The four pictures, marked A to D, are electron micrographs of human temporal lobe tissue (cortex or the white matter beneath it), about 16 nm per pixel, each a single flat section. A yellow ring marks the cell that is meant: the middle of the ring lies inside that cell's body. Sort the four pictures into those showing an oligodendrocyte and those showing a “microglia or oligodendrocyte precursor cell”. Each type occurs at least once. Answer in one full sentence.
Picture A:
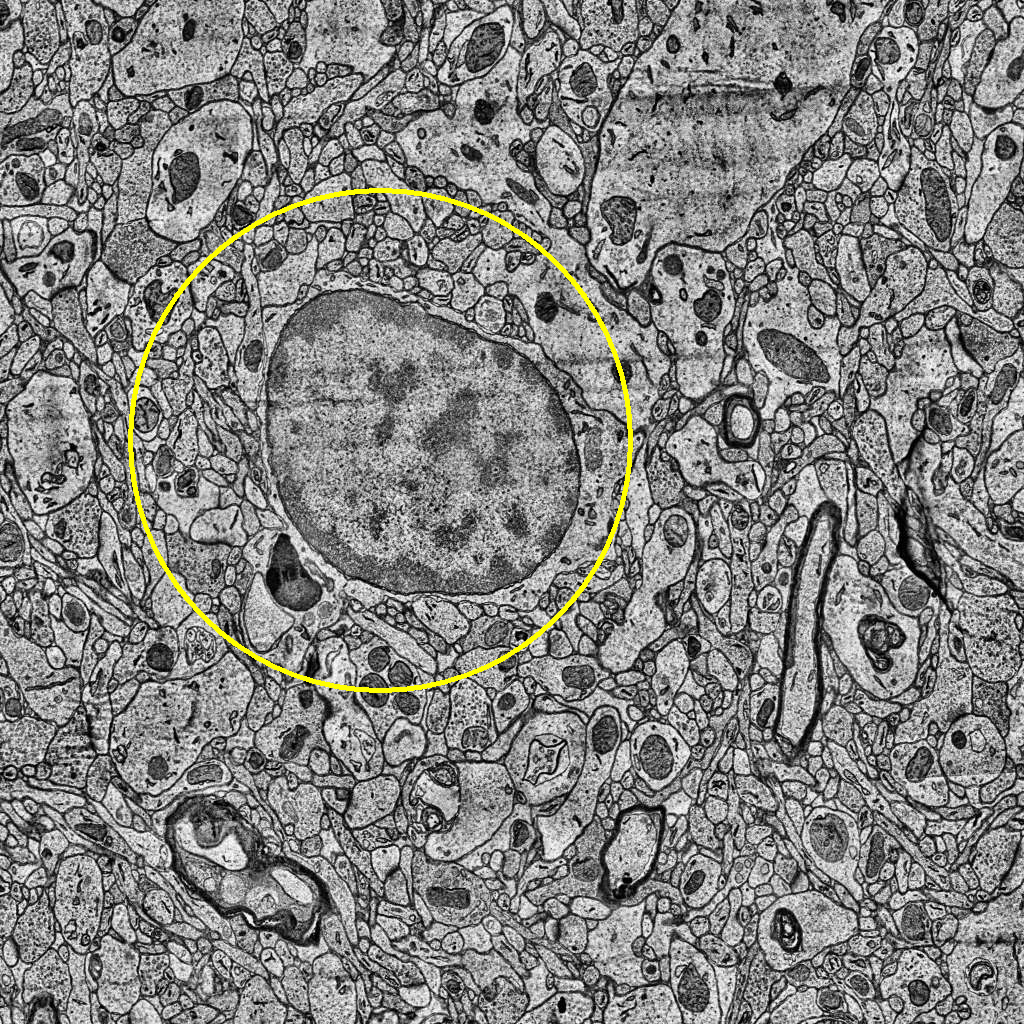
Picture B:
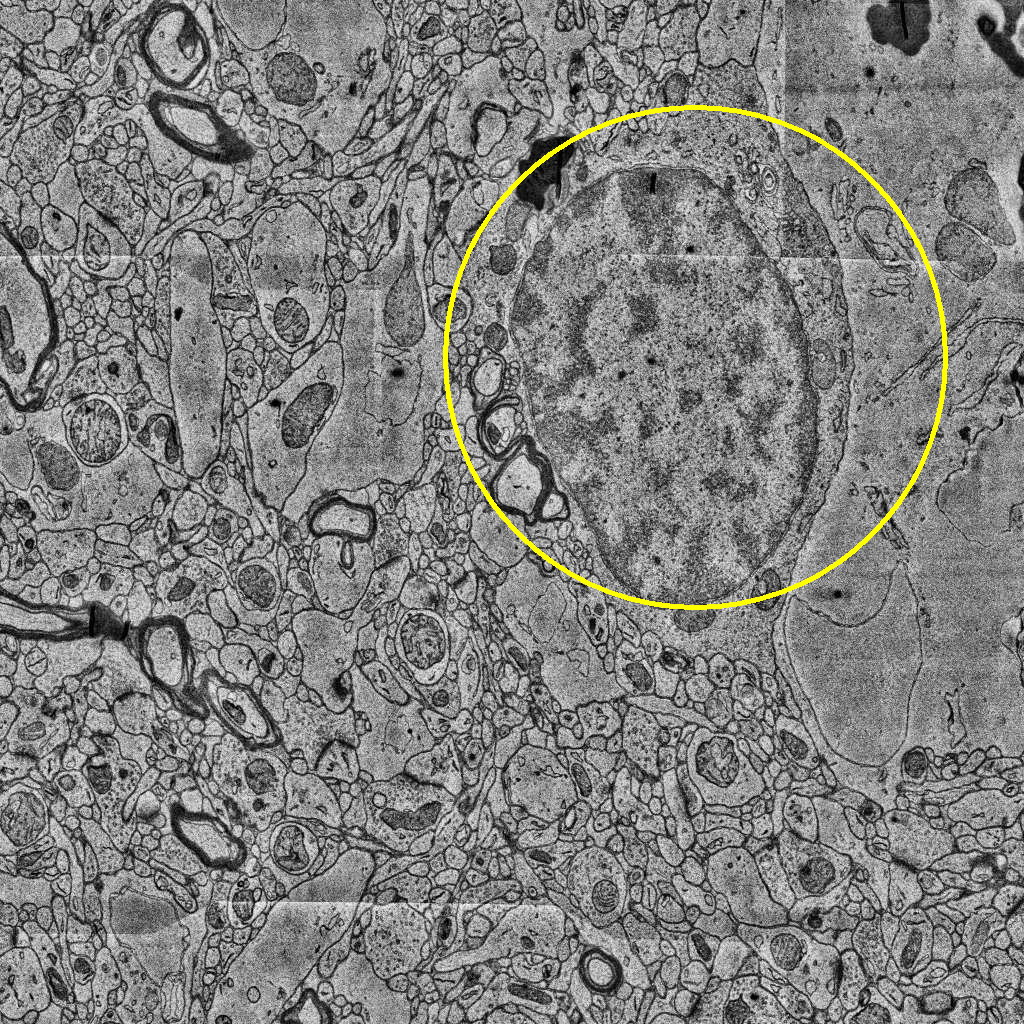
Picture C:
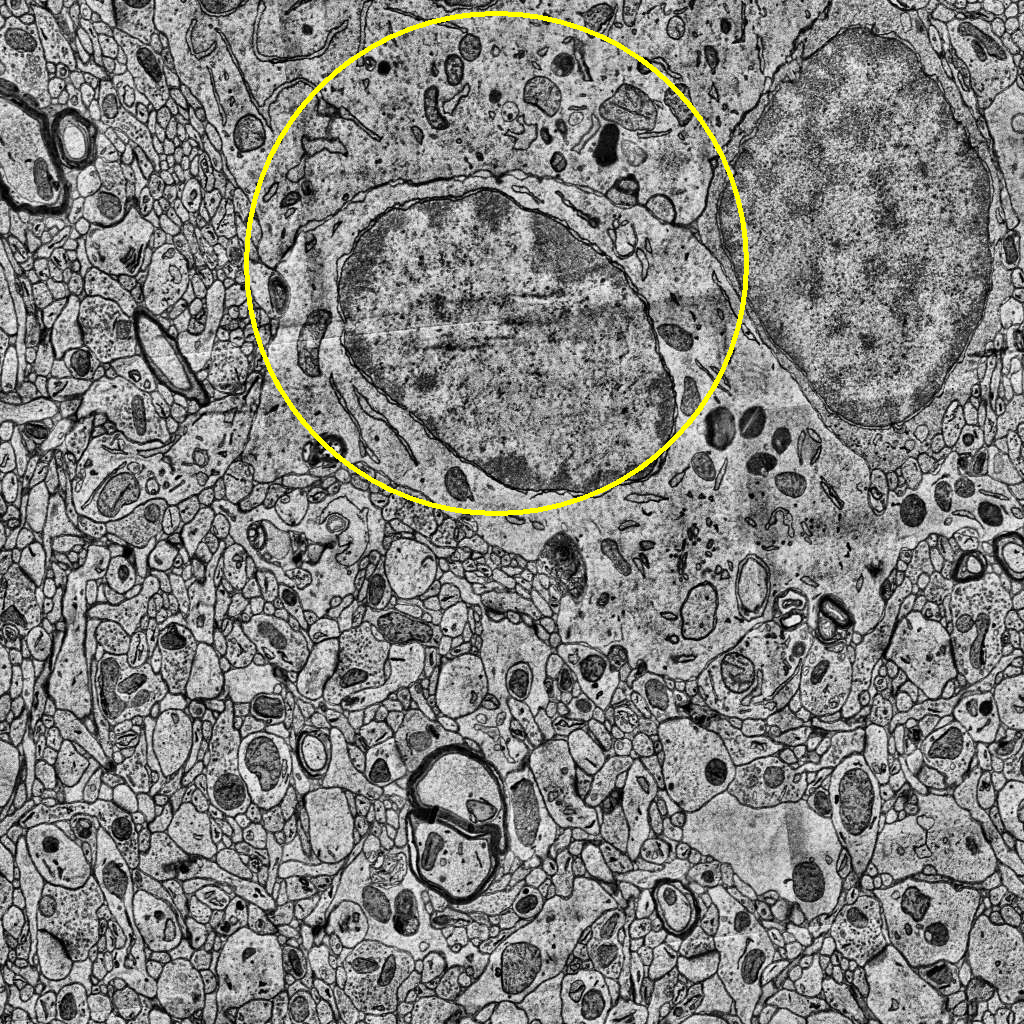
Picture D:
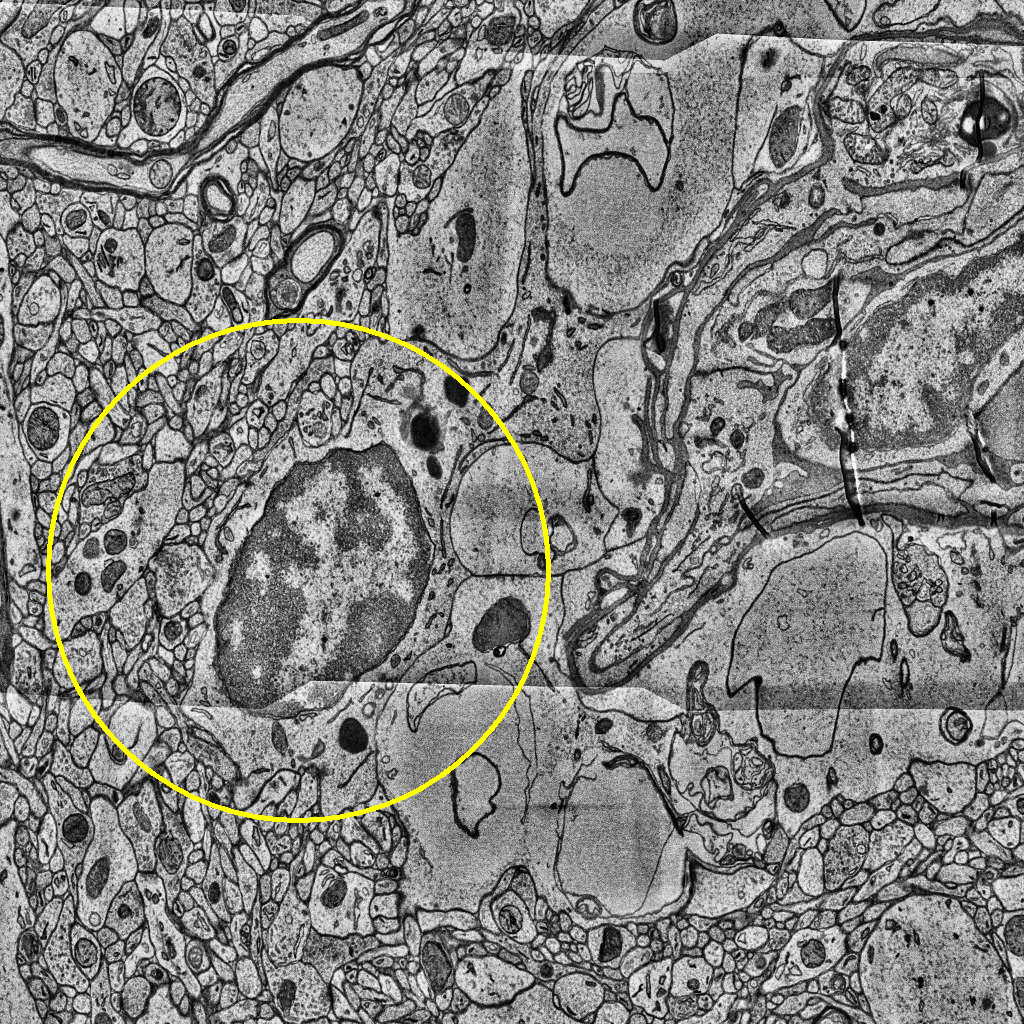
Picture B shows an oligodendrocyte, and pictures A, C and D show “microglia or oligodendrocyte precursor cells”.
